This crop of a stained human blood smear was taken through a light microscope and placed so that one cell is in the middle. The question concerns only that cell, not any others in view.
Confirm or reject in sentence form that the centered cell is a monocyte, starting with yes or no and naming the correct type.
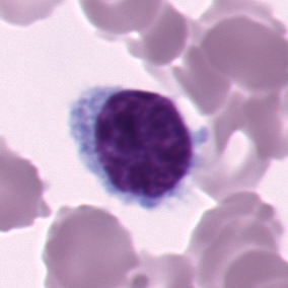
No, the correct answer for the middle cell is a hairy cell, not a monocyte.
